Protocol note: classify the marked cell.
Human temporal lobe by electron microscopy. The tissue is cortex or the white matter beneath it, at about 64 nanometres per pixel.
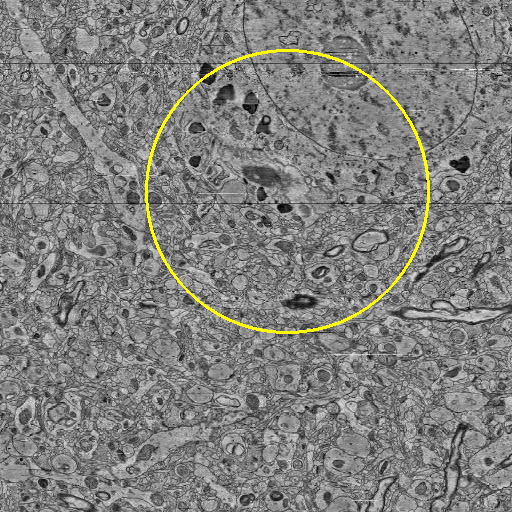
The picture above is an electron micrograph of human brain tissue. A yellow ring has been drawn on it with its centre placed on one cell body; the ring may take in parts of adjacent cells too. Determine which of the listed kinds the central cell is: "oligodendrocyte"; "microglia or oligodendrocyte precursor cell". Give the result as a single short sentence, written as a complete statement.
The central cell is a microglial cell or oligodendrocyte precursor cell.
